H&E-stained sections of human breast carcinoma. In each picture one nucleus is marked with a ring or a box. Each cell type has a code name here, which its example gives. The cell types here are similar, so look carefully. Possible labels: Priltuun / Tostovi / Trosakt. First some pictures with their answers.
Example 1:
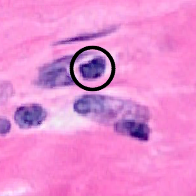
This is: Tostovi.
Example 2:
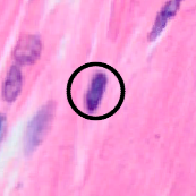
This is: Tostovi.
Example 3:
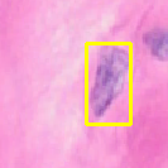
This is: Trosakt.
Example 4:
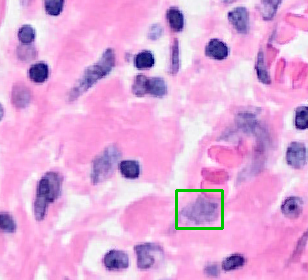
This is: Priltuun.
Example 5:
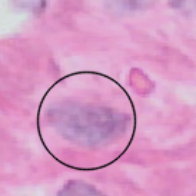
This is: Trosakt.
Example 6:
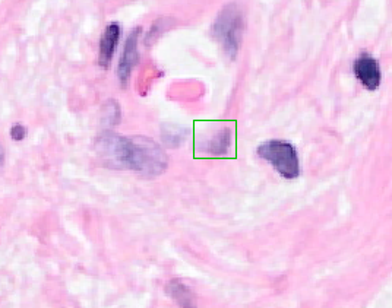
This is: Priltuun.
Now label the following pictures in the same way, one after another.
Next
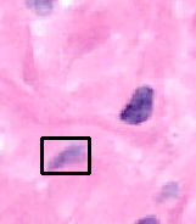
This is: Trosakt.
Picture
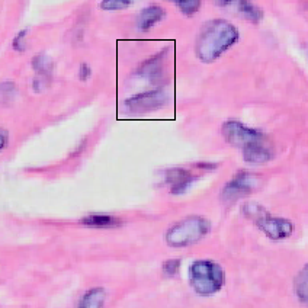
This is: Priltuun.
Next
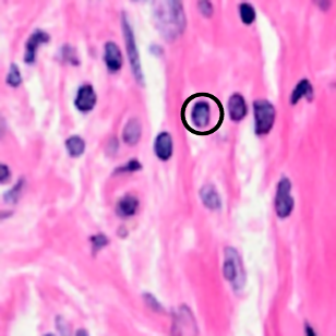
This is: Tostovi.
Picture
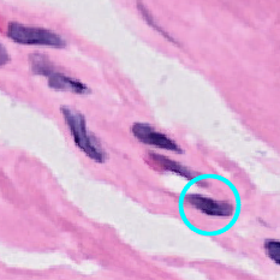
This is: Priltuun.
